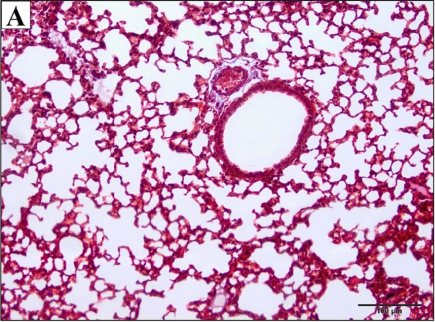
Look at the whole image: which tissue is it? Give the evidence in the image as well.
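Pulmonary parenchyma. Many thin-walled air spaces separated by delicate septa fill the field. A small round airway with a neighbouring blood vessel sits in the centre.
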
